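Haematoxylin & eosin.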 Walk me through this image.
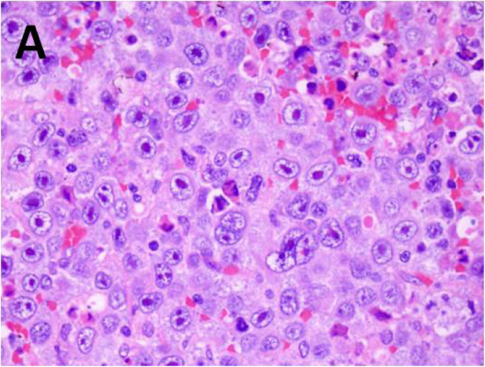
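This is a lymphoma composed of diffuse sheets of medium- to large-sized neoplastic cells. The cells are packed closely without any glandular or follicular arrangement. Their nuclei are round to oval and vesicular, with fine pale chromatin and a single prominent dark nucleolus in many cells. The cytoplasm is moderate and pale pink-lilac, with indistinct cell borders. Scattered red blood cells and a few cells with darker, irregular nuclei lie between the tumour cells.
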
